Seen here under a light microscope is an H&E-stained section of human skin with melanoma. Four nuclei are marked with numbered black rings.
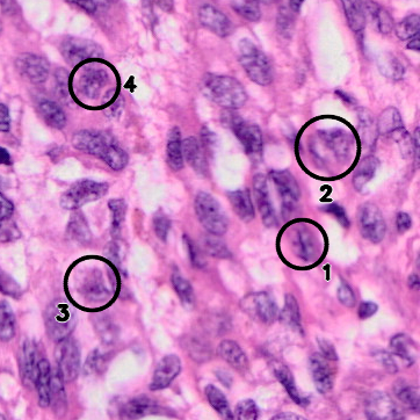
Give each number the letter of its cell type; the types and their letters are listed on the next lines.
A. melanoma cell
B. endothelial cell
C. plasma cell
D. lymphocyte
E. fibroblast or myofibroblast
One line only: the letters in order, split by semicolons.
B; A; A; A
